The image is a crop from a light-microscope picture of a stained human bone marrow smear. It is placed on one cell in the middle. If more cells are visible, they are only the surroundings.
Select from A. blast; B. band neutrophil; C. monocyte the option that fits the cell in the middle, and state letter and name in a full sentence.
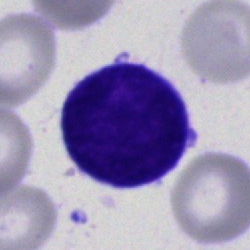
Option A gives the correct identity of the central cell, namely a blast.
